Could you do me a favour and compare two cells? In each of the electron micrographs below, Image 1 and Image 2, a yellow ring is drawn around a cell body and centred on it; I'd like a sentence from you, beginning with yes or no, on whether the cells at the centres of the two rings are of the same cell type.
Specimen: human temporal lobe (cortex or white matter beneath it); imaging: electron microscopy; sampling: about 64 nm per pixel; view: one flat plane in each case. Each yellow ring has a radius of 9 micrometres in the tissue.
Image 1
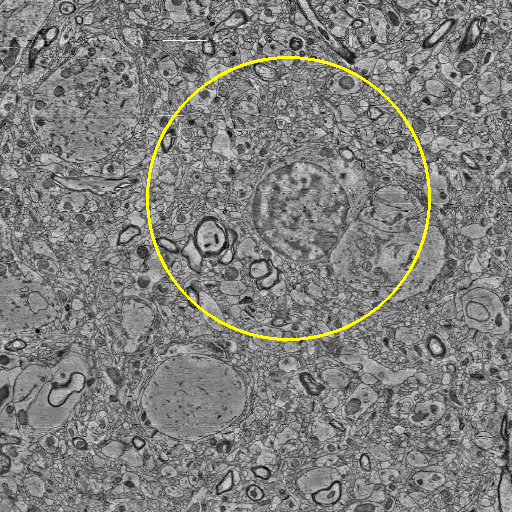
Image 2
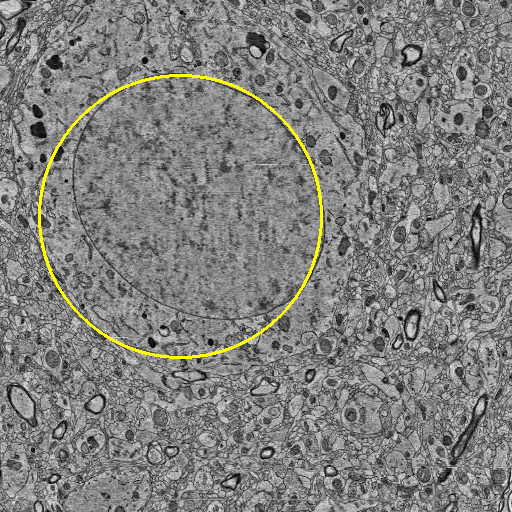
No, the two cells are of two cell types.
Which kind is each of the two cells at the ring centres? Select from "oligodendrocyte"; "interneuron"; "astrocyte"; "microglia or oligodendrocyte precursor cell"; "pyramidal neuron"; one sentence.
The cell at the centre of the ring is an oligodendrocyte in the first picture and a pyramidal neuron in the second.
